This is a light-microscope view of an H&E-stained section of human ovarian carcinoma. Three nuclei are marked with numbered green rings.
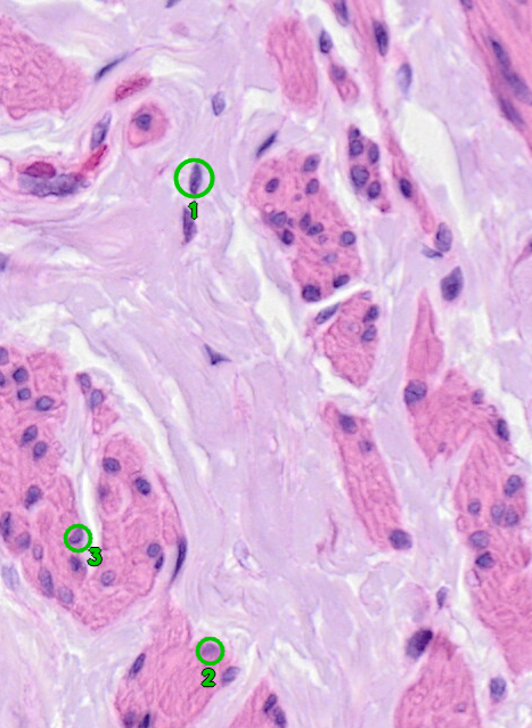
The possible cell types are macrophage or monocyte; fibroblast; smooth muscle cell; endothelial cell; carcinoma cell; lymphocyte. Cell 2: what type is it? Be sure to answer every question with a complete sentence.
At number 2, the marked cell is a smooth muscle cell.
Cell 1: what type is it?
The cell indicated with the number 1 is classed as a fibroblast.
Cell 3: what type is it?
The expected answer is that cell 3 is a smooth muscle cell.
